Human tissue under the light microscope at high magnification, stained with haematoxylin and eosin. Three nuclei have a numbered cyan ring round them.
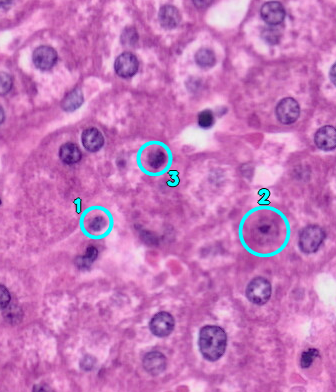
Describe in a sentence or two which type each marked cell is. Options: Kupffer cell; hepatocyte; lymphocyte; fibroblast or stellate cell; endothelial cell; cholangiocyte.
Cell 1 is a lymphocyte, cell 2 is a hepatocyte and cell 3 is a fibroblast or stellate cell.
